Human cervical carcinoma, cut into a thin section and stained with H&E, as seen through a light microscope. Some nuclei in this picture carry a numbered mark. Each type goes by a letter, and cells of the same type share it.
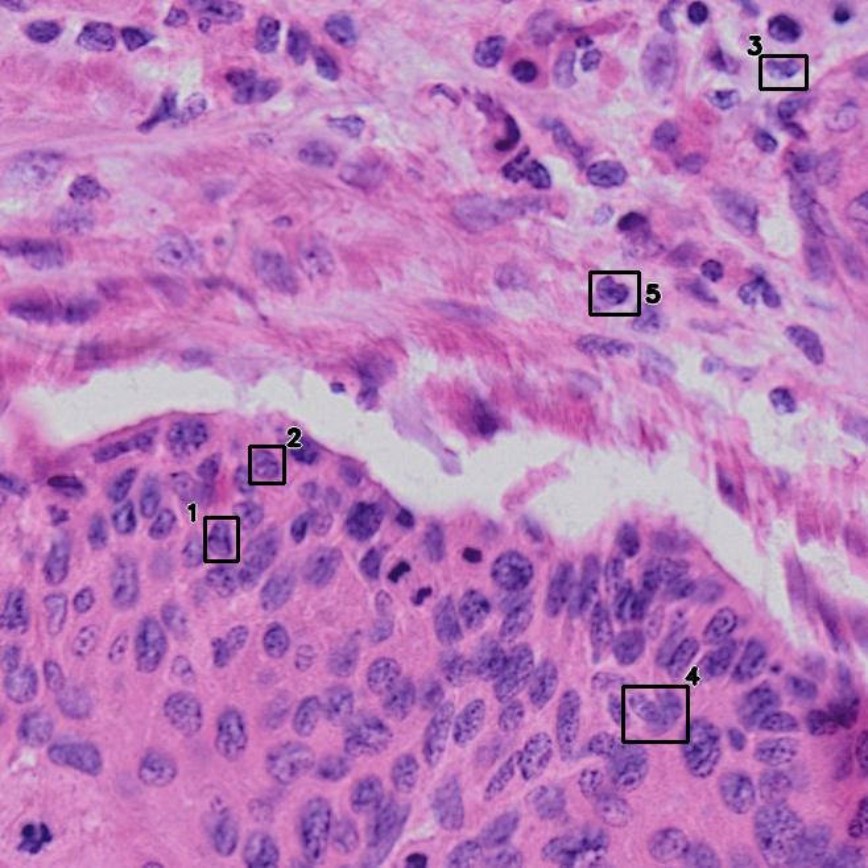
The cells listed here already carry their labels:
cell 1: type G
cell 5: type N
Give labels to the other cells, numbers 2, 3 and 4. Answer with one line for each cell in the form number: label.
2: type G
3: type N
4: type G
